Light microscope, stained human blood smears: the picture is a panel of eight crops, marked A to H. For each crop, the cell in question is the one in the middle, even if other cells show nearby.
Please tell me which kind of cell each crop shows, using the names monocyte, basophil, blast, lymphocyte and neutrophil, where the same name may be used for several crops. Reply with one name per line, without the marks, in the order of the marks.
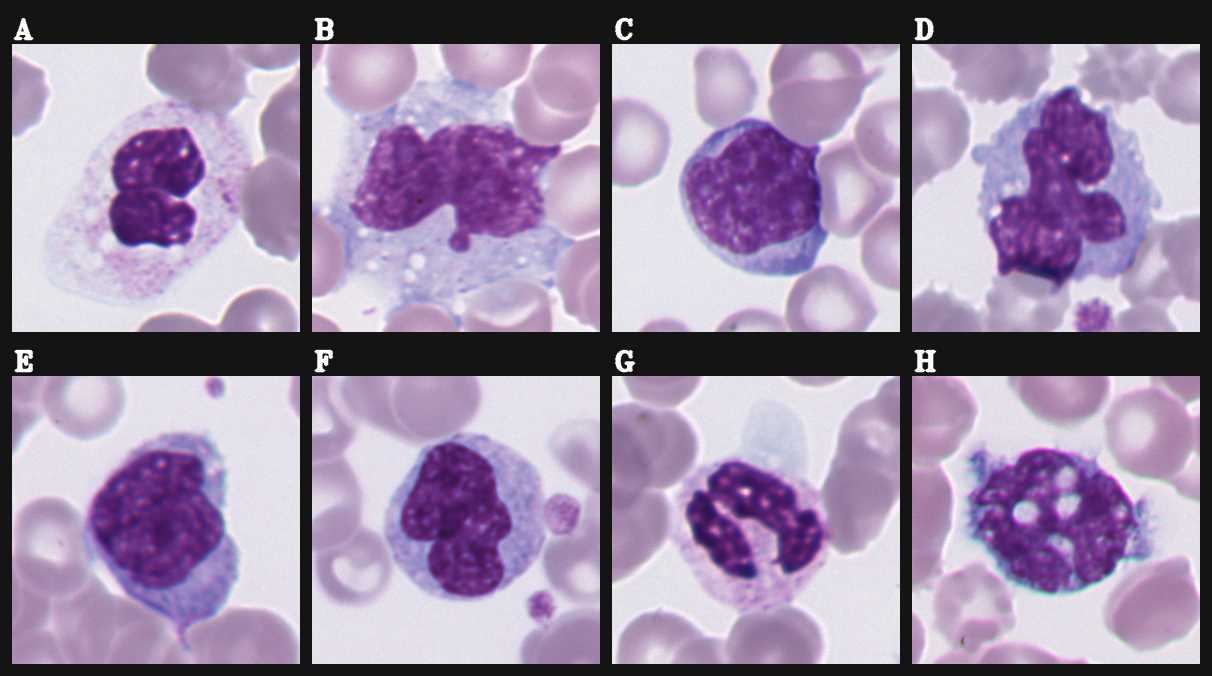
neutrophil
monocyte
blast
monocyte
monocyte
monocyte
neutrophil
monocyte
